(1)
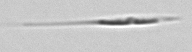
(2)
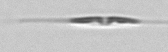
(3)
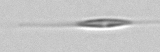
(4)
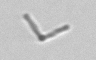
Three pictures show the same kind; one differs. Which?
Picture 4: Nanoneis, while the others are Cylindrotheca.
